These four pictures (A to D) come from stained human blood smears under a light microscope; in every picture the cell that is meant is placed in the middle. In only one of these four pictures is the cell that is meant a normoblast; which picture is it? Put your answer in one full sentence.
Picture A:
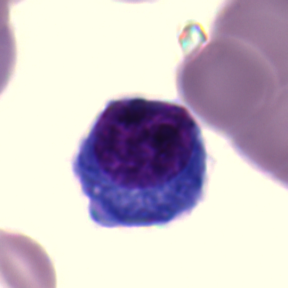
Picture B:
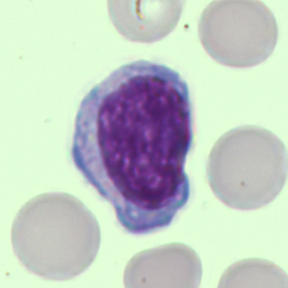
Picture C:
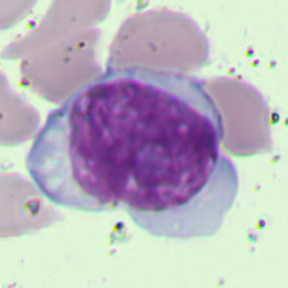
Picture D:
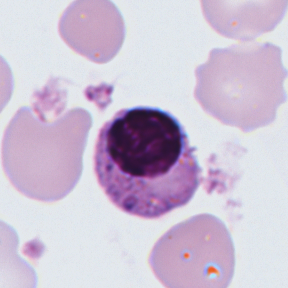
The normoblast is the one in picture D.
